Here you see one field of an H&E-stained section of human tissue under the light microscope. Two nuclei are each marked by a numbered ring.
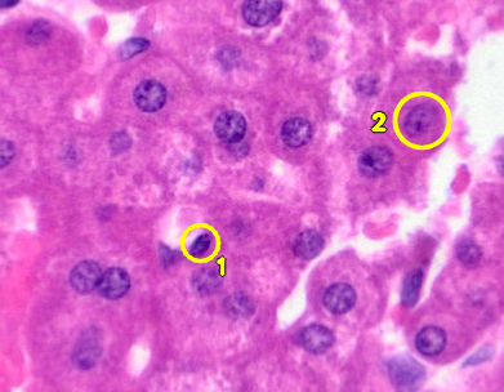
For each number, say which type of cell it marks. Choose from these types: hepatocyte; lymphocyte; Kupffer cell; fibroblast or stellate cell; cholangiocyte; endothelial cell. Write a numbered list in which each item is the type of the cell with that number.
1. fibroblast or stellate cell
2. hepatocyte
